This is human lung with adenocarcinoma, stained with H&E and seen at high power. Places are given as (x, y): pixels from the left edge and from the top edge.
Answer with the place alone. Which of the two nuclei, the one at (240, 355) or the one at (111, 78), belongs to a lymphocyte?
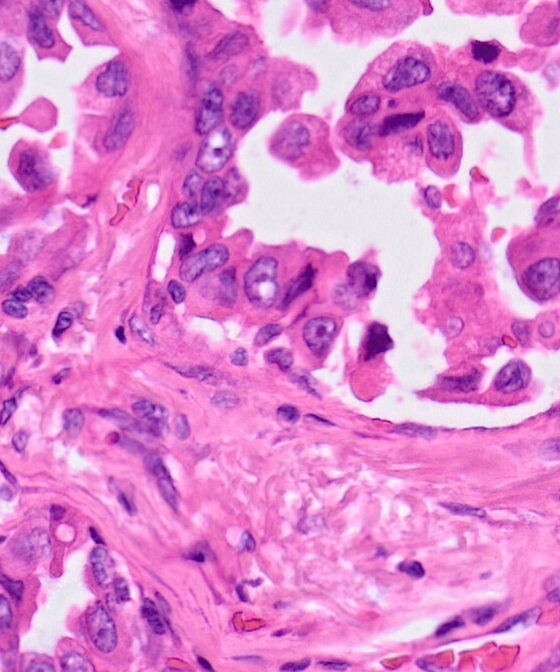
(240, 355)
